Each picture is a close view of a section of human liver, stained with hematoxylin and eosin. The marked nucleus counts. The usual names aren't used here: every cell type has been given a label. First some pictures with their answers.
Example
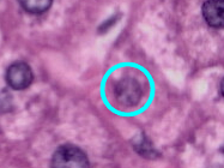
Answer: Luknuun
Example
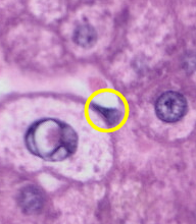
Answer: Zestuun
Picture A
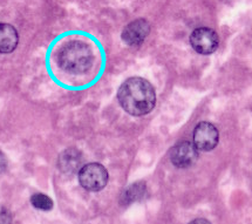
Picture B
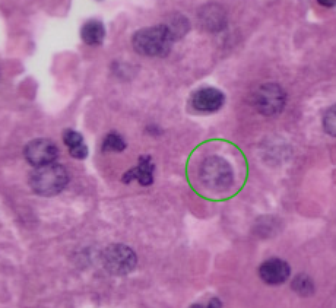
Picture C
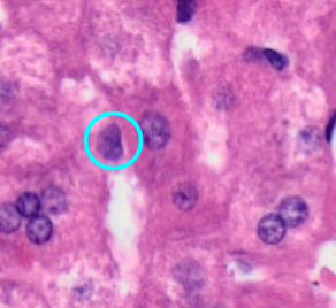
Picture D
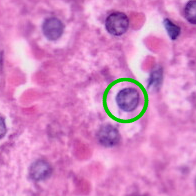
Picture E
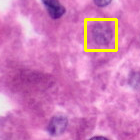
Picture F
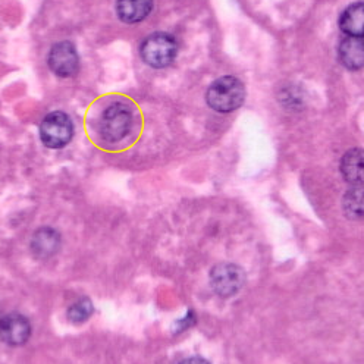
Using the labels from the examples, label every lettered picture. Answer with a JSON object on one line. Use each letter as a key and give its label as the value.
{"A": "Luknuun", "B": "Luknuun", "C": "Zestuun", "D": "Luknuun", "E": "Luknuun", "F": "Luknuun"}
